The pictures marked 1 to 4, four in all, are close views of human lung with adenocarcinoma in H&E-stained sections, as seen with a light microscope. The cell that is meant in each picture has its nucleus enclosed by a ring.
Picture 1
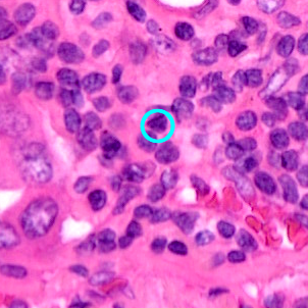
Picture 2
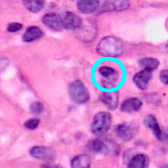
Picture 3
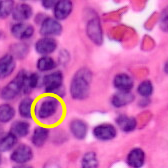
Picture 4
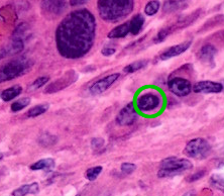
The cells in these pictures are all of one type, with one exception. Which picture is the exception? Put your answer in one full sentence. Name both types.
Unlike the rest, which show lymphocytes, picture 4 shows a plasma cell.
